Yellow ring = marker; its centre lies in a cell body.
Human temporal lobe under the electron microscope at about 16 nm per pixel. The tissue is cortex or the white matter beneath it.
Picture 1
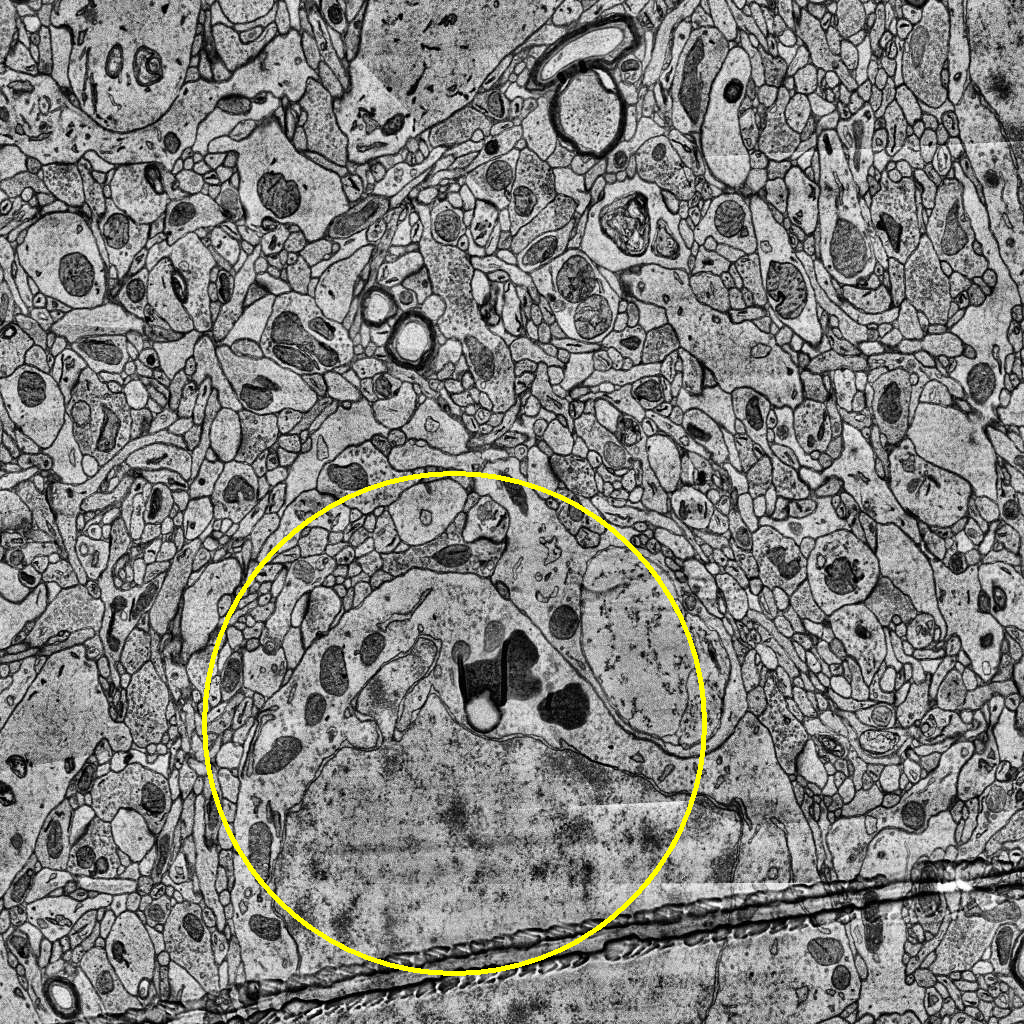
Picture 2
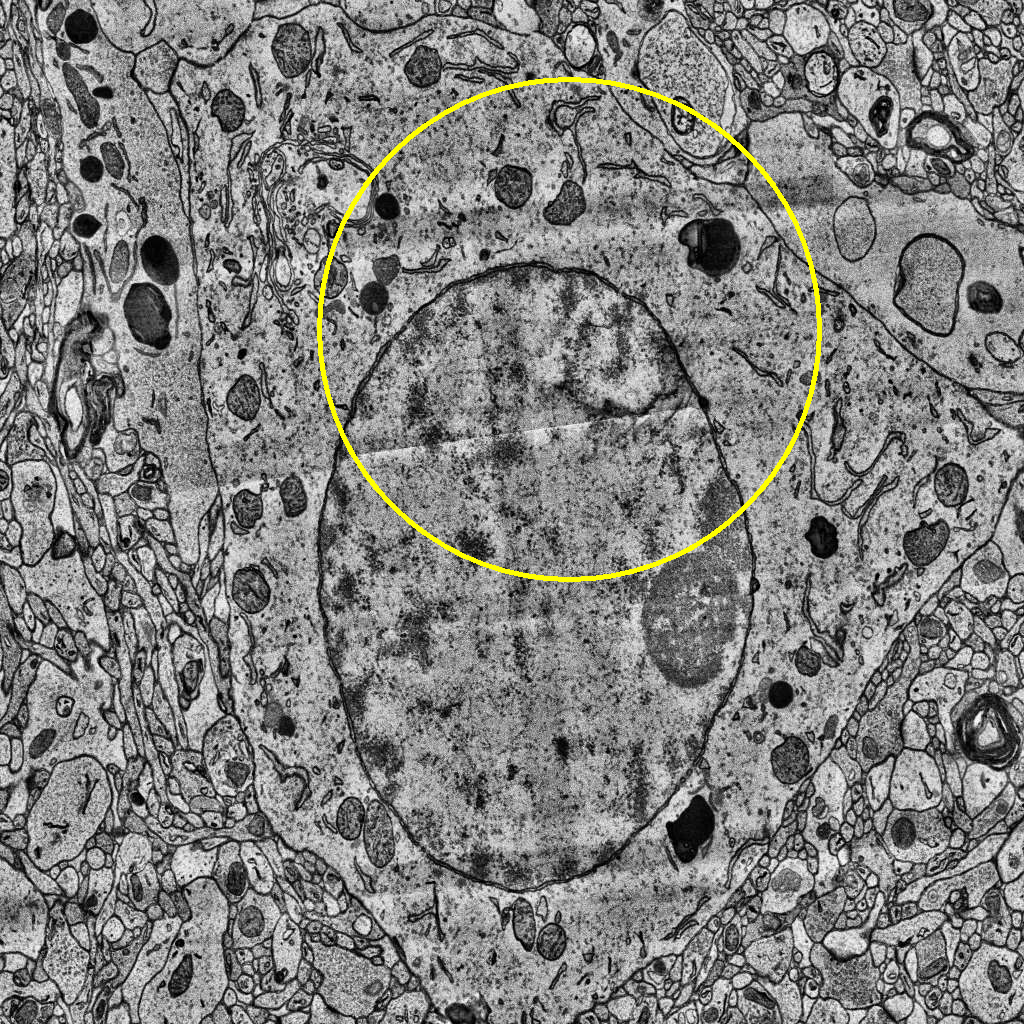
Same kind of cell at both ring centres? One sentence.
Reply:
No, they are two kinds of cell.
